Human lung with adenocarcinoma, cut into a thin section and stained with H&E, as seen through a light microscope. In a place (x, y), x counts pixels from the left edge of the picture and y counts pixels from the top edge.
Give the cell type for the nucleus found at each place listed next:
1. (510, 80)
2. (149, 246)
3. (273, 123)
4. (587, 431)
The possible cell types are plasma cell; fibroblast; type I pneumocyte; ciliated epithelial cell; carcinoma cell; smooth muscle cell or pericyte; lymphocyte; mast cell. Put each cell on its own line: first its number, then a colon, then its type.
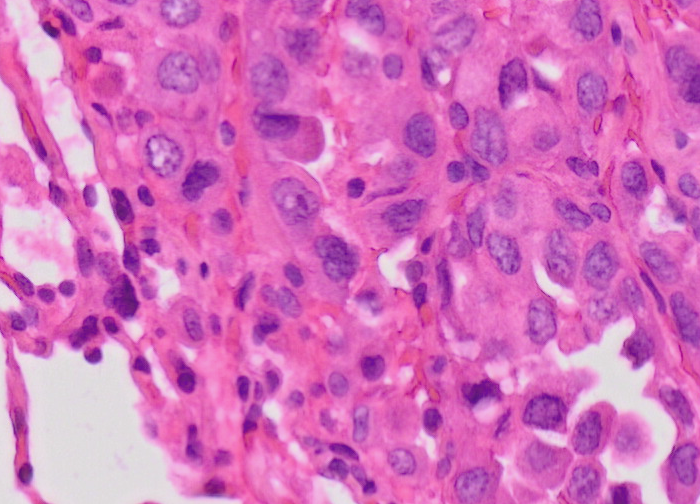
1: carcinoma cell
2: lymphocyte
3: carcinoma cell
4: carcinoma cell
